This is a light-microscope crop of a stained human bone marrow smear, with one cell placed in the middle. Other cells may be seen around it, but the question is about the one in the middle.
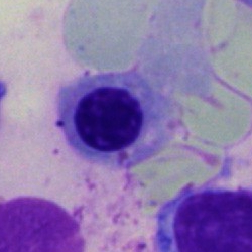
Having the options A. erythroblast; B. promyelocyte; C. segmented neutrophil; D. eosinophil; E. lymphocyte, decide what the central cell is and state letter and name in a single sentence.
Since the cell in the centre is an erythroblast, the correct option is A.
